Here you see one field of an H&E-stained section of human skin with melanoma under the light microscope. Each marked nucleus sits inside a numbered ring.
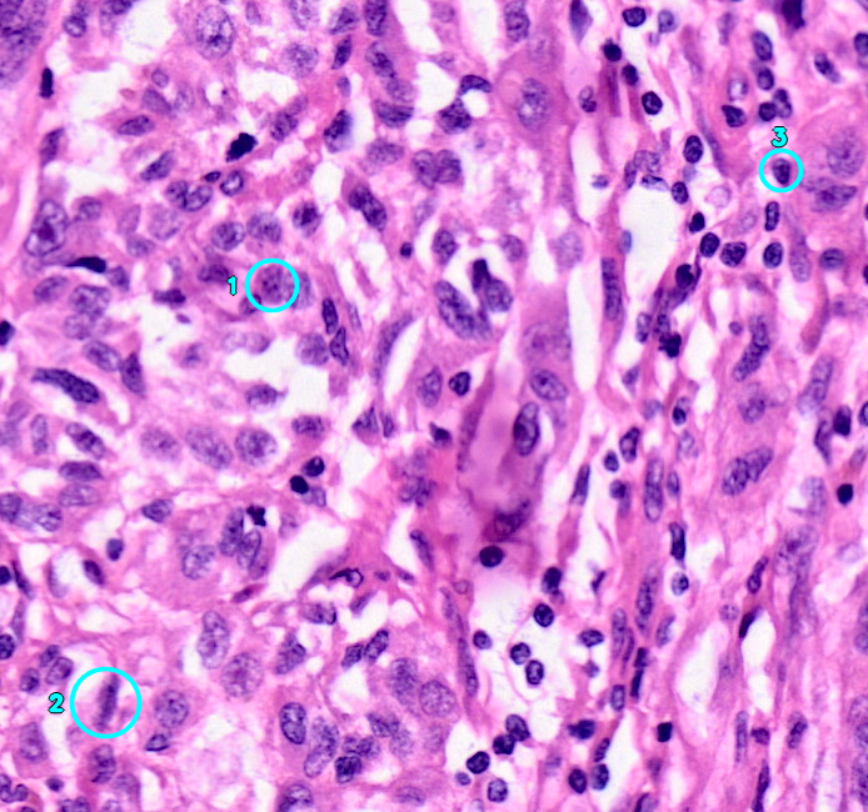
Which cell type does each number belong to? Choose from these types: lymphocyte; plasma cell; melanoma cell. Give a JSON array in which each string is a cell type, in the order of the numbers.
["melanoma cell", "melanoma cell", "lymphocyte"]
